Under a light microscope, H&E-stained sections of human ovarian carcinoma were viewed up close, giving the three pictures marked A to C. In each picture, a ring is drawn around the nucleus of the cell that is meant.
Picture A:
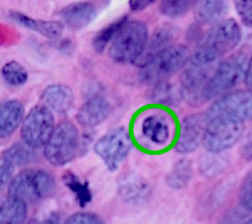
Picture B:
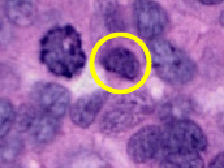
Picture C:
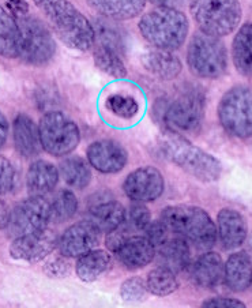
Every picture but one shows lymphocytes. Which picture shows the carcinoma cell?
B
